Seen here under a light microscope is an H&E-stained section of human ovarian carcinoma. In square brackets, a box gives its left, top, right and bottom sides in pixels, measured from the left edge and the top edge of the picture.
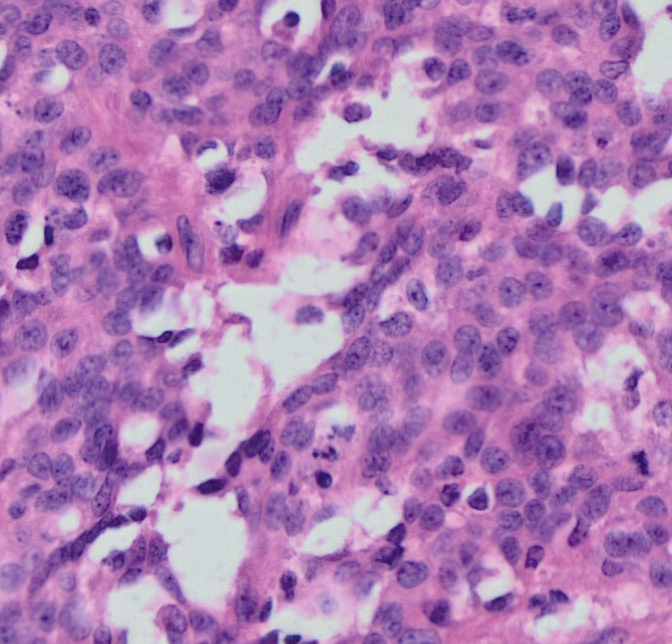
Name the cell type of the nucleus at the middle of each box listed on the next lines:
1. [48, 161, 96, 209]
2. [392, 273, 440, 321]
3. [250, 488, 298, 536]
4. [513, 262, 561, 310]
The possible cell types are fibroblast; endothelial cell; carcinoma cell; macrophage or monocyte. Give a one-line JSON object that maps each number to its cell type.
{"1": "carcinoma cell", "2": "macrophage or monocyte", "3": "carcinoma cell", "4": "carcinoma cell"}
